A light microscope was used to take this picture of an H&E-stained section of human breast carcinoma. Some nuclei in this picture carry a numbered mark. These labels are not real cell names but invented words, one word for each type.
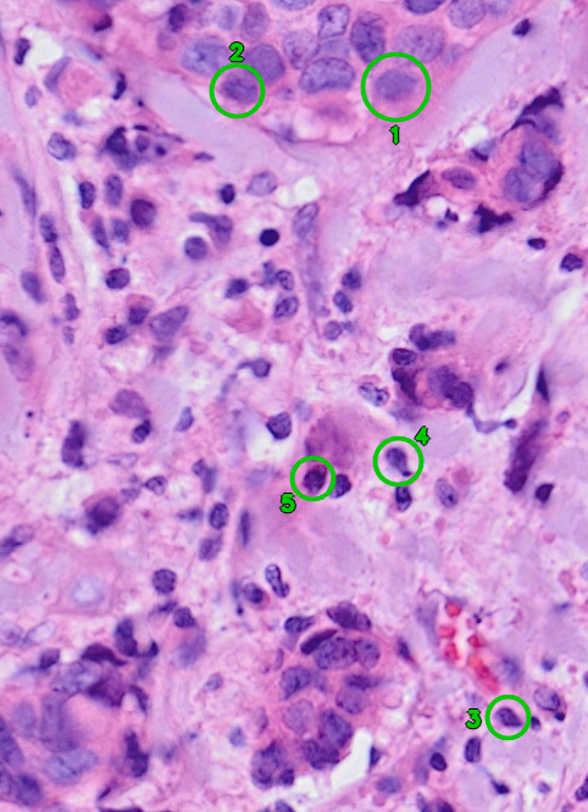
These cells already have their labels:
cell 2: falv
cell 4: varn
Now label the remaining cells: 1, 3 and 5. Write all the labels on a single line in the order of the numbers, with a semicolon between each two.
falv; varn; varn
